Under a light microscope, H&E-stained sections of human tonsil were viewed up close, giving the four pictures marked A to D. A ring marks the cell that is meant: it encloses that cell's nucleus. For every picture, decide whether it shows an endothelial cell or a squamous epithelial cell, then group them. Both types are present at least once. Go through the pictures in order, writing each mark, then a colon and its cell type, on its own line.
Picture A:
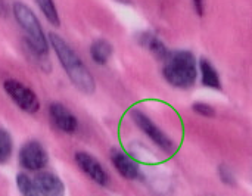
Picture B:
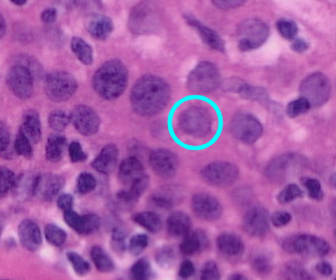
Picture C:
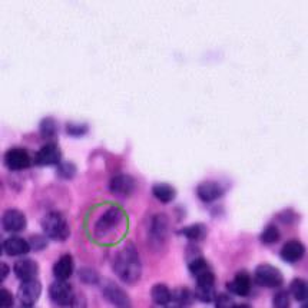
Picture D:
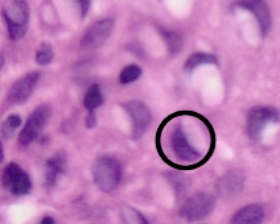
A: endothelial cell
B: squamous epithelial cell
C: endothelial cell
D: squamous epithelial cell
